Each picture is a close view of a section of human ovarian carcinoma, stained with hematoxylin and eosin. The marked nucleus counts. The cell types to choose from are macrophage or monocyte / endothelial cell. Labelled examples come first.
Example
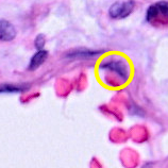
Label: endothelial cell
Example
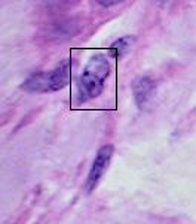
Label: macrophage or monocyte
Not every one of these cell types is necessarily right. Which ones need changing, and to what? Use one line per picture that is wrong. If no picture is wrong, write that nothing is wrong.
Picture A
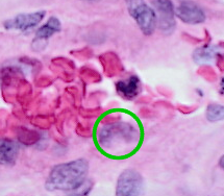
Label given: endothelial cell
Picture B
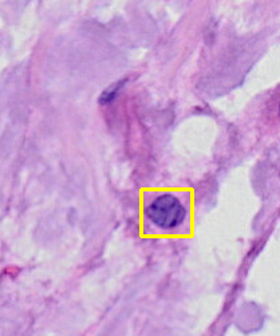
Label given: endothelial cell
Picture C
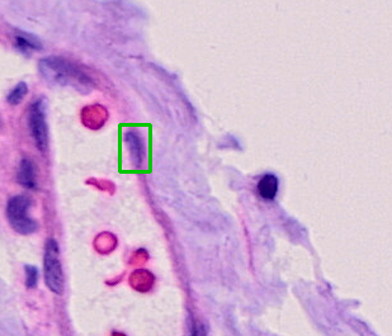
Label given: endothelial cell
B: not endothelial cell but macrophage or monocyte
